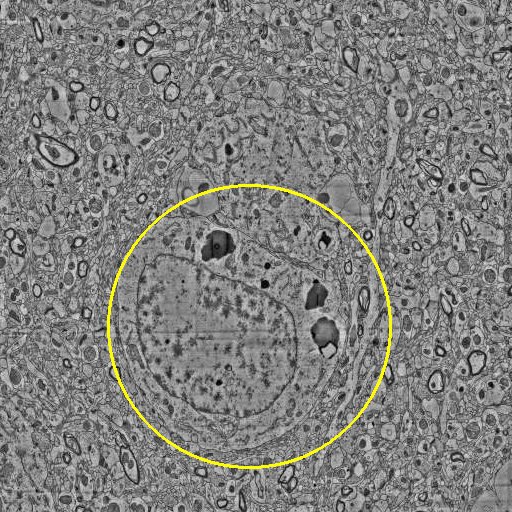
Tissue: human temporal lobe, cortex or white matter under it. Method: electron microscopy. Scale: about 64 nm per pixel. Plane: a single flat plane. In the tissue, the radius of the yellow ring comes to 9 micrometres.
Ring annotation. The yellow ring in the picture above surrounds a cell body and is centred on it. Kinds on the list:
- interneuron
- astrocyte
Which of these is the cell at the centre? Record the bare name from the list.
interneuron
